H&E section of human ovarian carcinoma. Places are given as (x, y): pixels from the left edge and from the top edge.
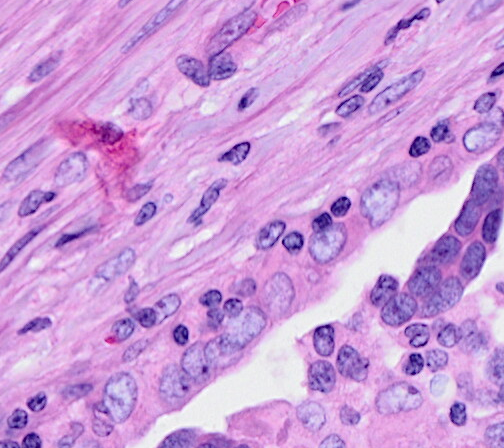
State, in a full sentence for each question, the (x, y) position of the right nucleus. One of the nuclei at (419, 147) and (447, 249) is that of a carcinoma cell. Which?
The nucleus contained in a carcinoma cell is the one at (447, 249).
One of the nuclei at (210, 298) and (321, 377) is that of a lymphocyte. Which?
The nucleus at (210, 298) is part of a lymphocyte, while the other is not.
